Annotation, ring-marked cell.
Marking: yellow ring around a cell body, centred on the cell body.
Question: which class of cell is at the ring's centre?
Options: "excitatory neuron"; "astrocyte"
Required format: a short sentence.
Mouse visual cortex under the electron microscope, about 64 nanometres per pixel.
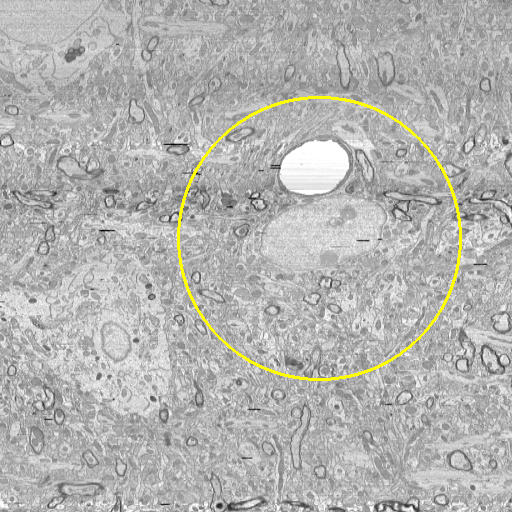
At the ring's centre is an astrocyte.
